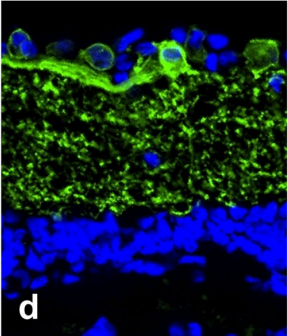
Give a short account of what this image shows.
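This is a cross section of retina, with a single row of cell bodies with blue nuclei along the top edge, some of them surrounded by green cytoplasm. Beneath them lies a thick band with few nuclei that is filled with fine, granular green fibres. At the bottom a dense band of closely packed blue nuclei forms a separate cell layer, and a thin green line runs along beneath the top row of cells.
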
